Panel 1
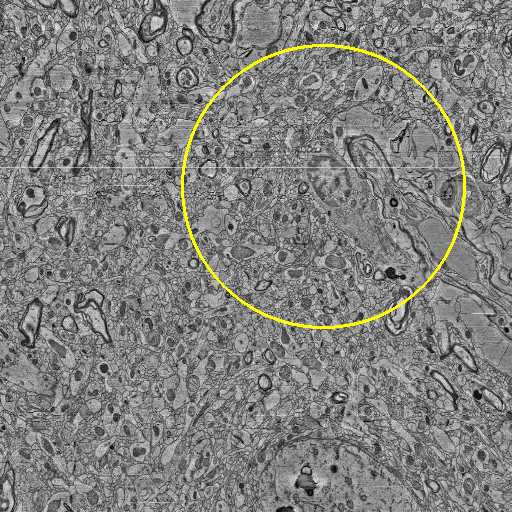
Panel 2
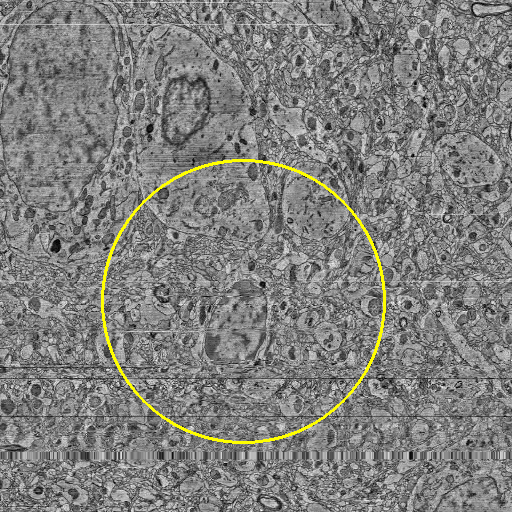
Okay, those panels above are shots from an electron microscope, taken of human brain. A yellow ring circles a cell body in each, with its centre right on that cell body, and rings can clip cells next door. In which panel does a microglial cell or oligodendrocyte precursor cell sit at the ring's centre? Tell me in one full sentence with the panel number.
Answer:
The cell you asked for sits at the ring's centre in panel 2.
